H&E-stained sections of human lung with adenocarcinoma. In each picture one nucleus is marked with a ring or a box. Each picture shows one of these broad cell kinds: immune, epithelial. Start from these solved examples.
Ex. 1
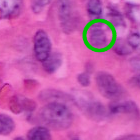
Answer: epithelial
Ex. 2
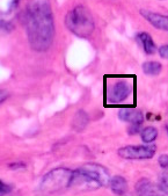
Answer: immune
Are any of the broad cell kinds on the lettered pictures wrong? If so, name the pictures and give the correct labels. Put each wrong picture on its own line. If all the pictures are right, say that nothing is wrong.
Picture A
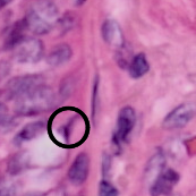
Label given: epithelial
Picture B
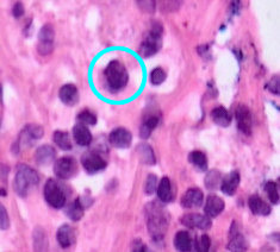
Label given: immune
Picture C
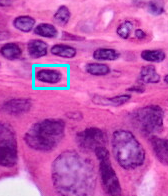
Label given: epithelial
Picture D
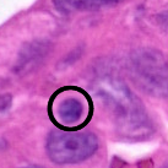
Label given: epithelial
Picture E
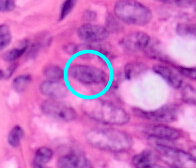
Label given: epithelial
C: immune, not epithelial
D: immune, not epithelial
